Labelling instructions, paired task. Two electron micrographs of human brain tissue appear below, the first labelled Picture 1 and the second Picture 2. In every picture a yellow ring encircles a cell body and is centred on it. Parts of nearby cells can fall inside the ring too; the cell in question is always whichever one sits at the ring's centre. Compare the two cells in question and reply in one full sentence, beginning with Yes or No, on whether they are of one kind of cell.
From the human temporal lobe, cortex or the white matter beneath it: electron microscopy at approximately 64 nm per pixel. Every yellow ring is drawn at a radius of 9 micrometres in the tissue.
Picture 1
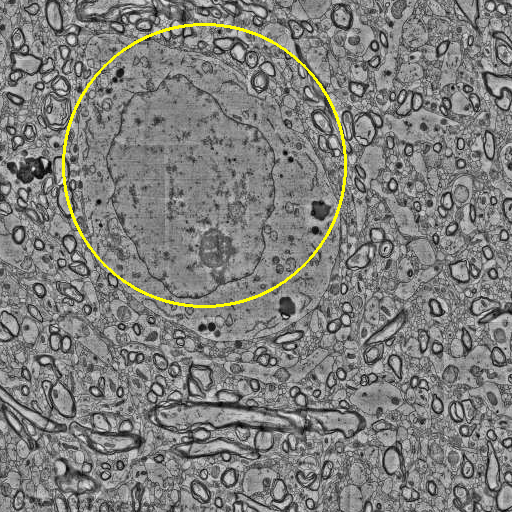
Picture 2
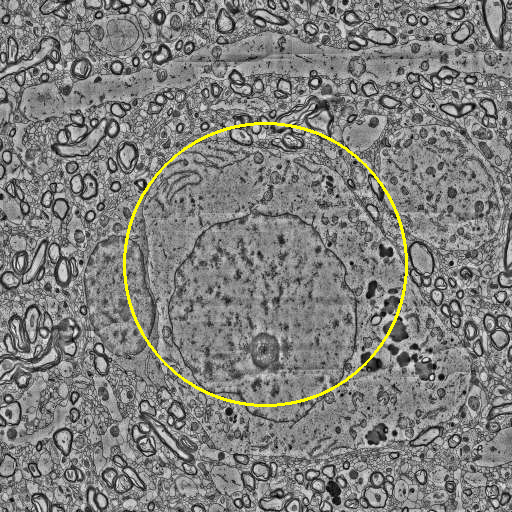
Yes, the two cells at the ring centres in Picture 1 and Picture 2 are of one kind.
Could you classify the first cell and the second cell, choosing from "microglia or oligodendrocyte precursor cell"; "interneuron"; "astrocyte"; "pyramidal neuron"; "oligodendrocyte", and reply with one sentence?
In each of the two pictures, the ringed cell is a pyramidal neuron.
